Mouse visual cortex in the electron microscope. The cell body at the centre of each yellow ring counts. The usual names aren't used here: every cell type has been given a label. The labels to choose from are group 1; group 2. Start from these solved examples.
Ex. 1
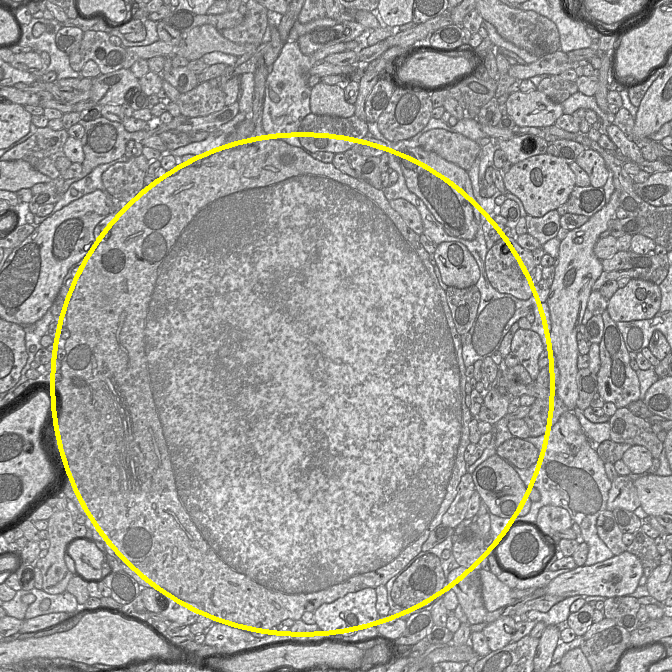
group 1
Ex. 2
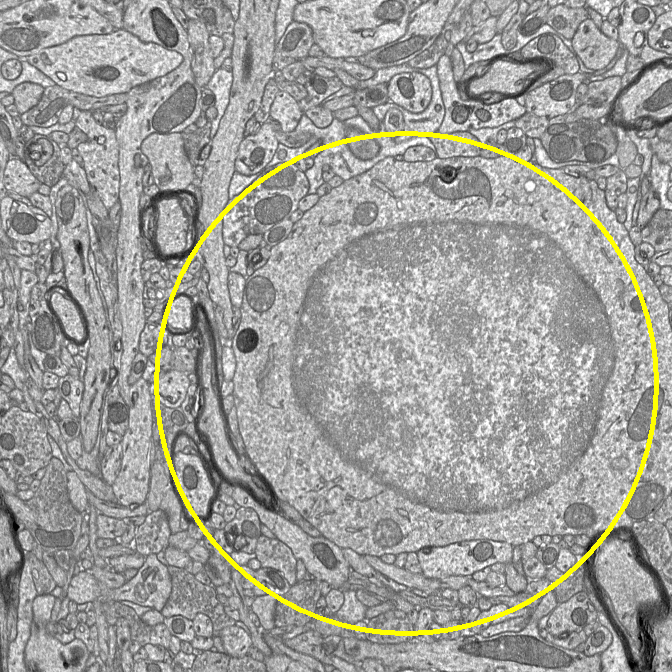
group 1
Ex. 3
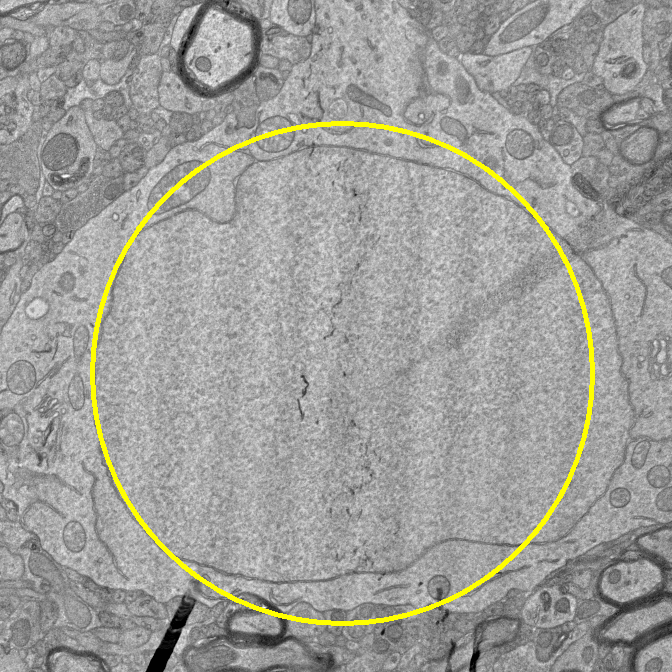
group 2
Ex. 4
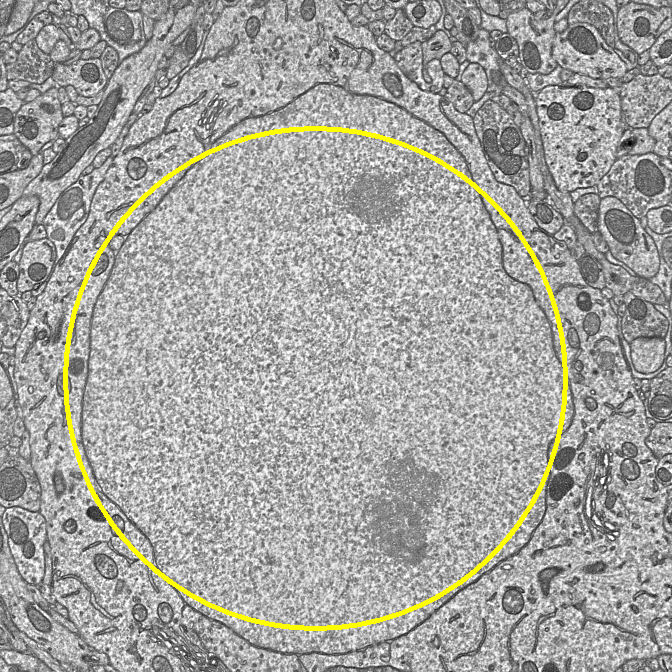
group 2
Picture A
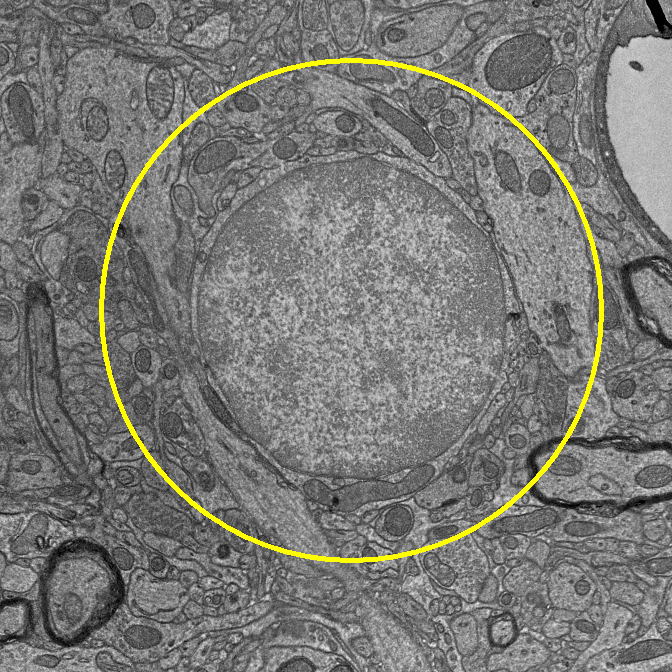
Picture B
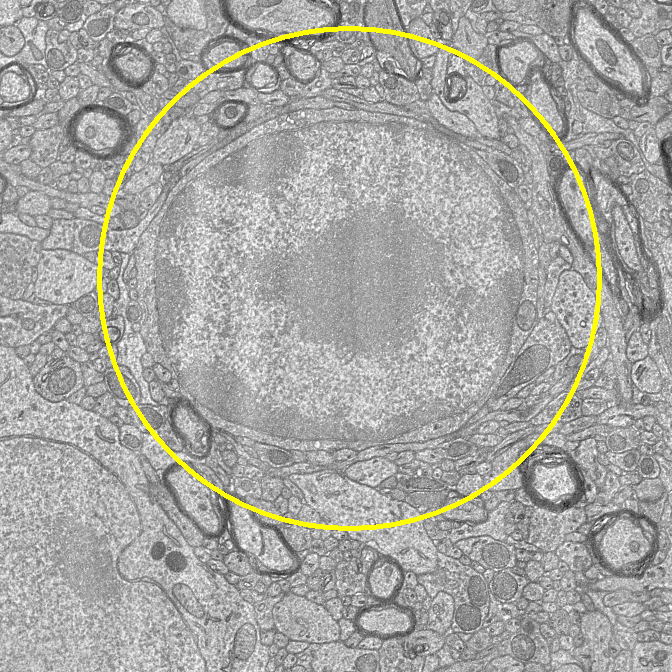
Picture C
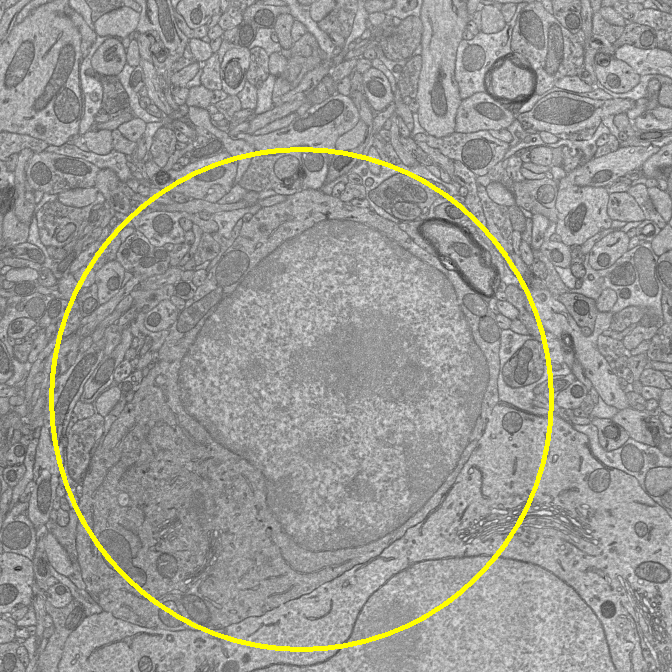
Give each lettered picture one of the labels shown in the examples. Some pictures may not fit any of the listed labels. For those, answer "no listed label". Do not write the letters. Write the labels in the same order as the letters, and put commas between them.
group 1, group 1, group 1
